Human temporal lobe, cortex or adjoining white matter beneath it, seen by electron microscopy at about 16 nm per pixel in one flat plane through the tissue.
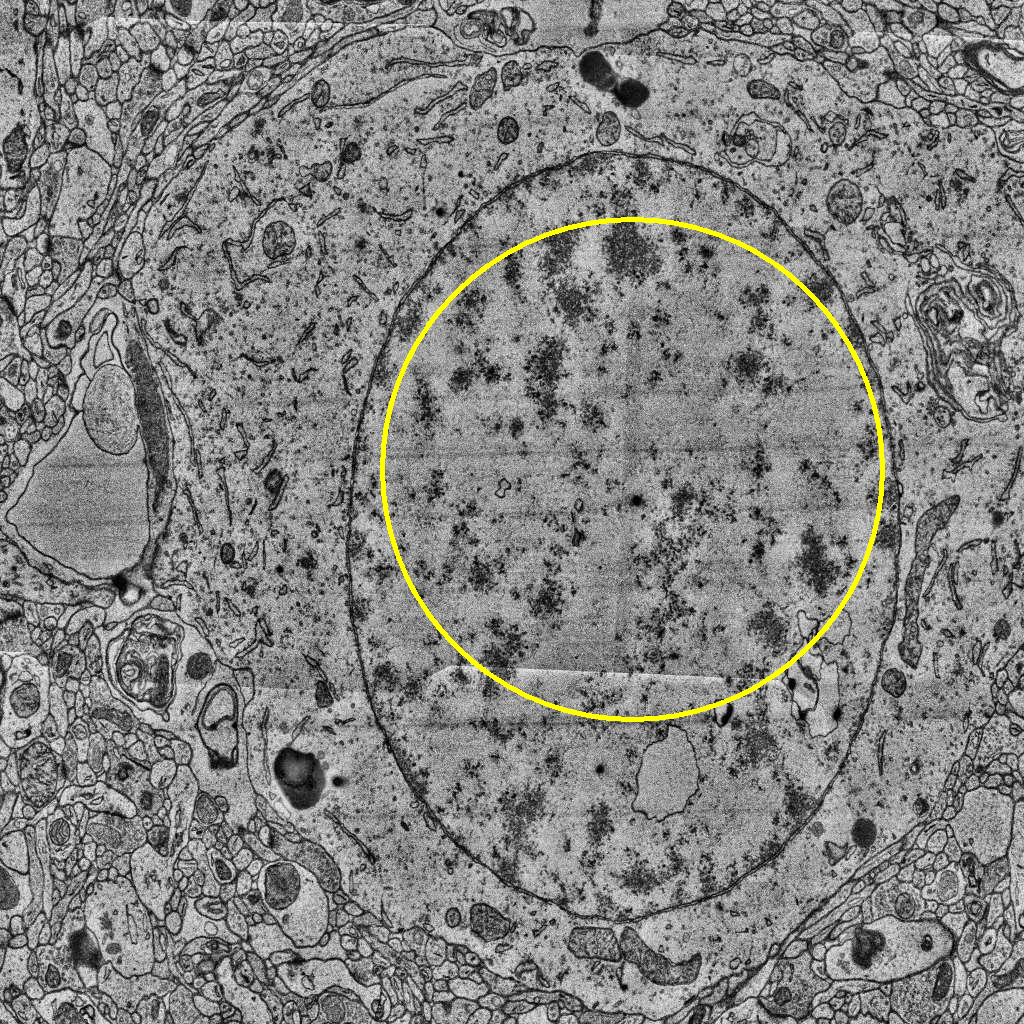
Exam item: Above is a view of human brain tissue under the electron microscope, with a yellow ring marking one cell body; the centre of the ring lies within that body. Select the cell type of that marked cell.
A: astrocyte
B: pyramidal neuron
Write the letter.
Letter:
B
